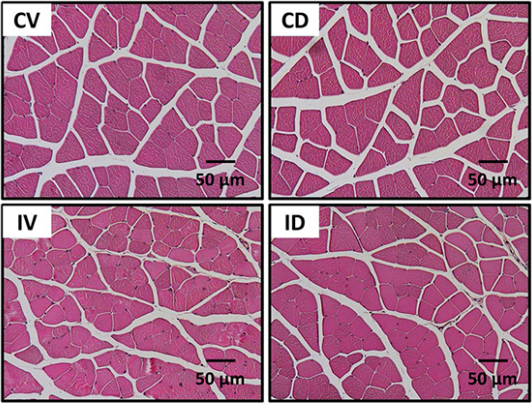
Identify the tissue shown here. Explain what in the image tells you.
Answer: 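Skeletal muscle. Large polygonal eosinophilic fibers in cross-section. Fibers are arranged in fascicles.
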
